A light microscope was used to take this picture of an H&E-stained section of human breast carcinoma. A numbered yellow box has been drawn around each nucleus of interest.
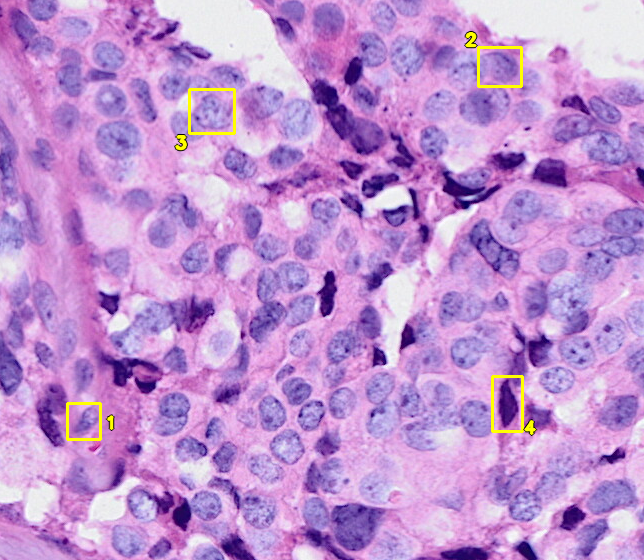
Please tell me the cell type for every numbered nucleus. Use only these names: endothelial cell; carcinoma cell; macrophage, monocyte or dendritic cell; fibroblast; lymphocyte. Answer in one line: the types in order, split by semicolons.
endothelial cell; carcinoma cell; carcinoma cell; carcinoma cell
